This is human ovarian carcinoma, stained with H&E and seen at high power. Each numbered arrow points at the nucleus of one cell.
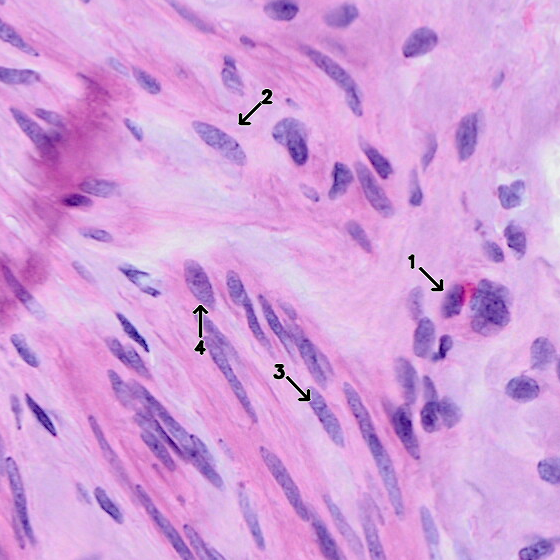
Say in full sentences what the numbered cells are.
Cell 1 is an endothelial cell. Cells 2, 3 and 4 are smooth muscle cells.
